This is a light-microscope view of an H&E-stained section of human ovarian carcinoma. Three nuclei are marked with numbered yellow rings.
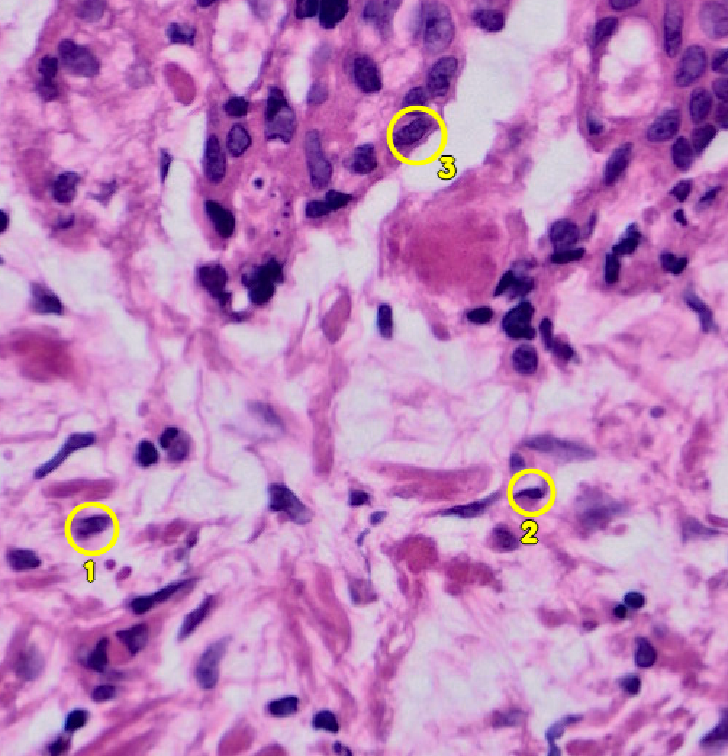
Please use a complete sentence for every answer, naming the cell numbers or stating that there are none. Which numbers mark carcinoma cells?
Cell 3 is the only one of the numbered cells that is a carcinoma cell.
